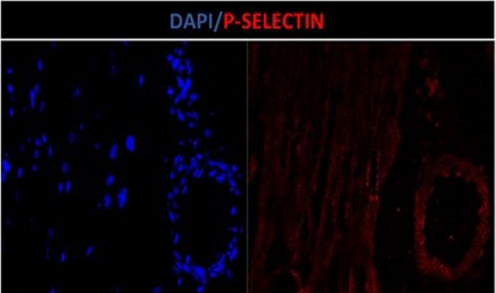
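Nuclei are sparse and scattered, with a ring of nuclei around a round vessel-like structure on the right. The red staining is faint along long parallel fibres and brighter around the ring.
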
